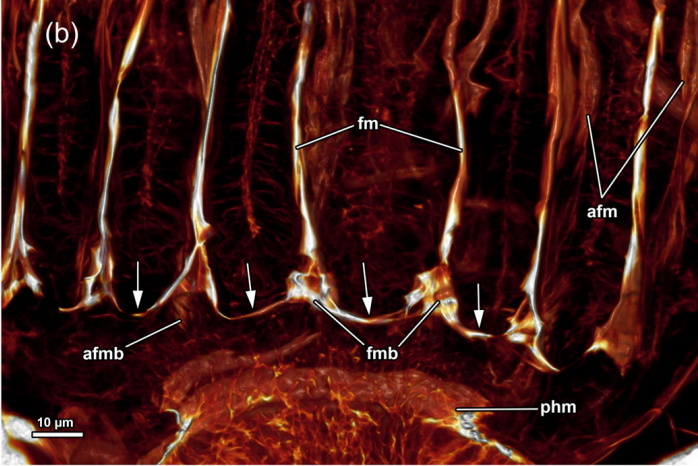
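Frontal view of the bases of the oral tentacles with their frontal muscles. Bright, long muscle strands run vertically upward into the tentacles, each widening at its foot into a triangular base where several bundles meet. Thin curved bands span between neighbouring bases, forming a row of arcs that links the tentacles laterally. Fainter, thinner strands lie between and beside the bright ones. Below lies a dome of the pharynx with a fine meshwork of muscle and a bright band at its edge; the tentacle bases do not run into it.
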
